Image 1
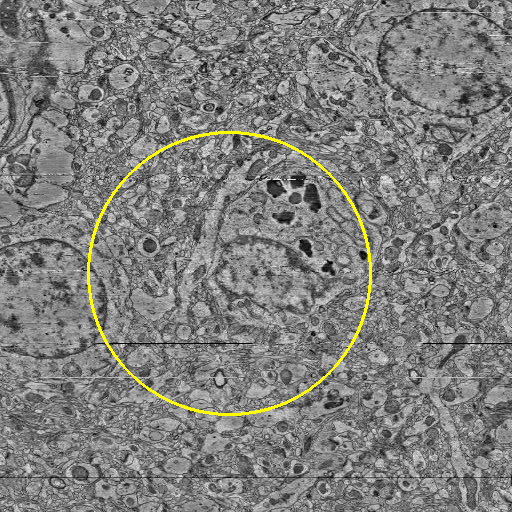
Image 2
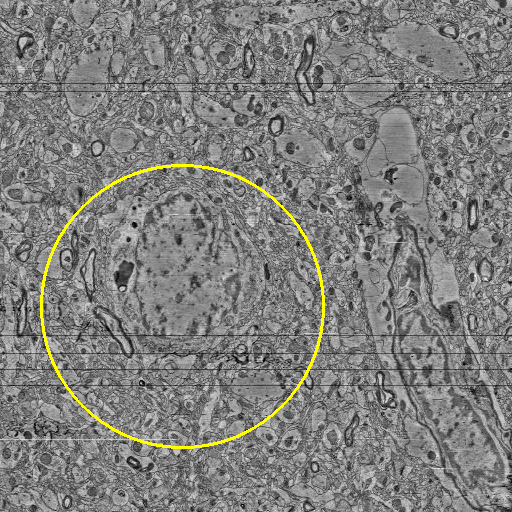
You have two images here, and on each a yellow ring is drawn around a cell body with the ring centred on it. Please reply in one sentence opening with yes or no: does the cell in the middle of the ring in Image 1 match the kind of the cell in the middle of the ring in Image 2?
Yes, the two images show cells of one kind at the centres of their rings.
